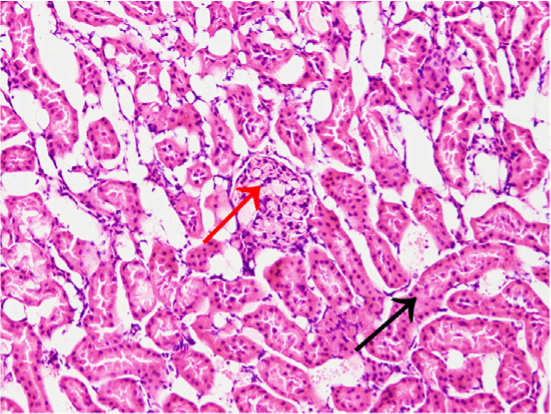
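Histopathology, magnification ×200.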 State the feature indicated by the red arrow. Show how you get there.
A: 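The red arrow points to a rounded tuft of densely packed nuclei. It sits among tubule cross-sections. That points to this answer: glomeruli.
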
